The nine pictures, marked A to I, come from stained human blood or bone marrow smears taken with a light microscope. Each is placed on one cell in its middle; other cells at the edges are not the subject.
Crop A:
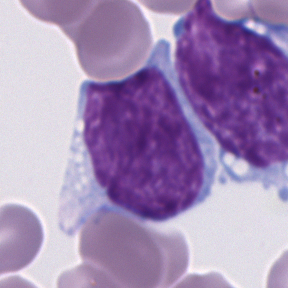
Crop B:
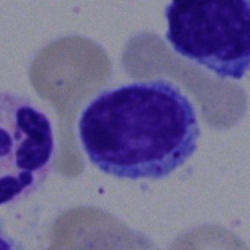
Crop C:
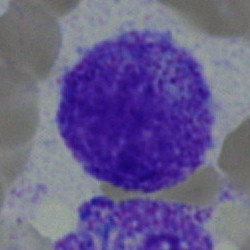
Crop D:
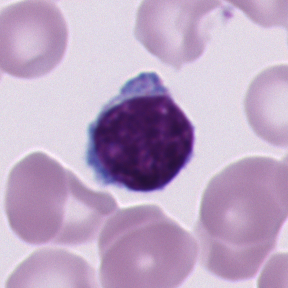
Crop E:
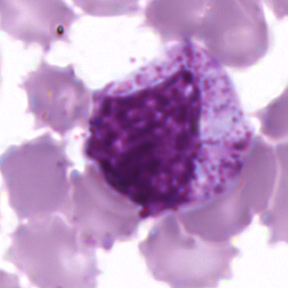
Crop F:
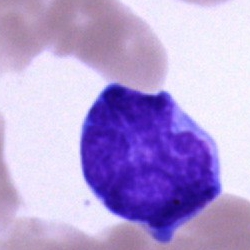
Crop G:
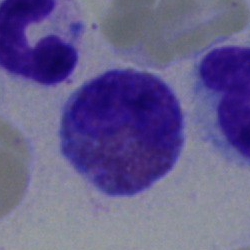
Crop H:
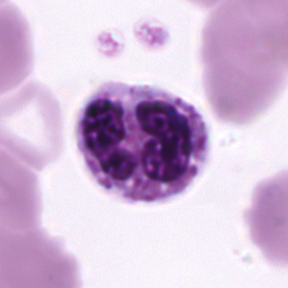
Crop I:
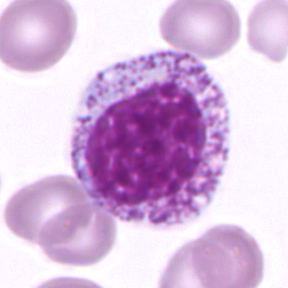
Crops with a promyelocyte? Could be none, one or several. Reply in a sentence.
No single crop in the group depicts a promyelocyte.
